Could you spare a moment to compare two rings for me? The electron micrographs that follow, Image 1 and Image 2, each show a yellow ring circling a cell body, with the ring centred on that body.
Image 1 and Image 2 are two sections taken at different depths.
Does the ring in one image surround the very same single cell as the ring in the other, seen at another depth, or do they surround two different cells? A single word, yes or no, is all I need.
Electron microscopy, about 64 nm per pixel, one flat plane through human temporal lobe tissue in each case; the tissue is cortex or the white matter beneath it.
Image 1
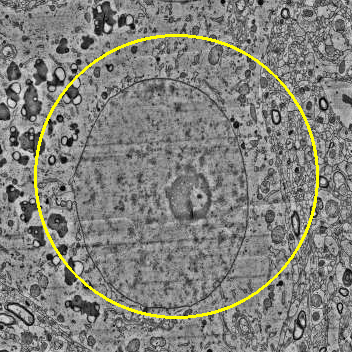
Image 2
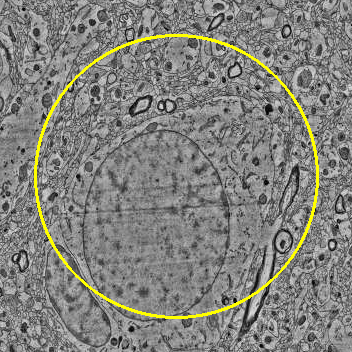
no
